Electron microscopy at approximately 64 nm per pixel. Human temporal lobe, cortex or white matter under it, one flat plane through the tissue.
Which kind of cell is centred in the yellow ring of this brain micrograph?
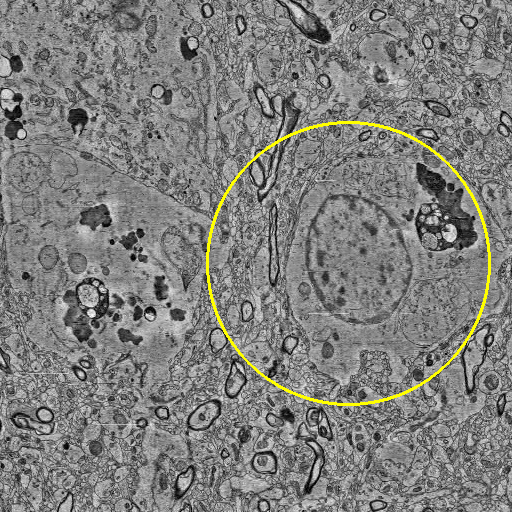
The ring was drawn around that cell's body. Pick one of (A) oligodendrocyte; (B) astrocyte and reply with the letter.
B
